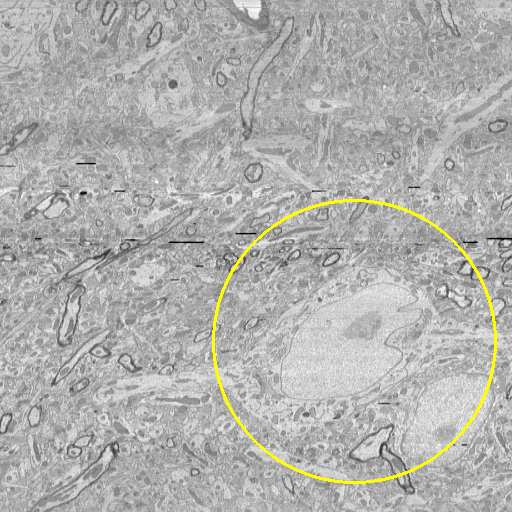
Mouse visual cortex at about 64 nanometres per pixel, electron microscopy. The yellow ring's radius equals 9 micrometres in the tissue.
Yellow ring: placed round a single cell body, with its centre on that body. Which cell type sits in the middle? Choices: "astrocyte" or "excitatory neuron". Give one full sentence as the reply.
It is an excitatory neuron whose cell body sits at the centre of the yellow ring.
